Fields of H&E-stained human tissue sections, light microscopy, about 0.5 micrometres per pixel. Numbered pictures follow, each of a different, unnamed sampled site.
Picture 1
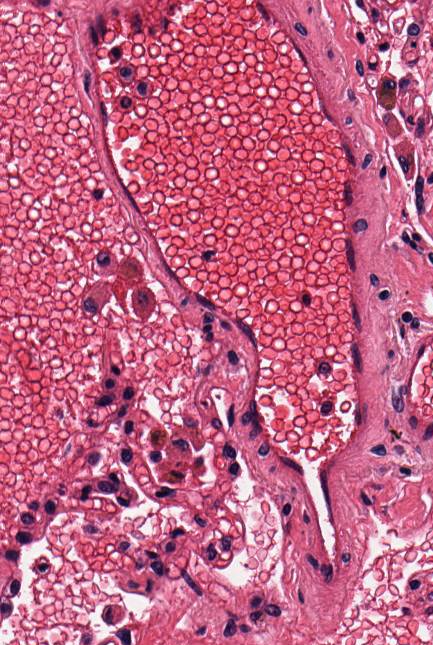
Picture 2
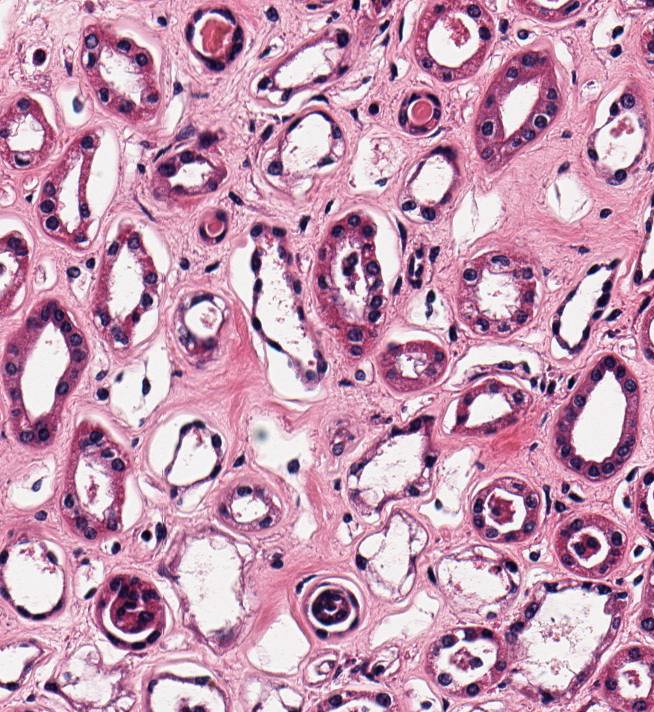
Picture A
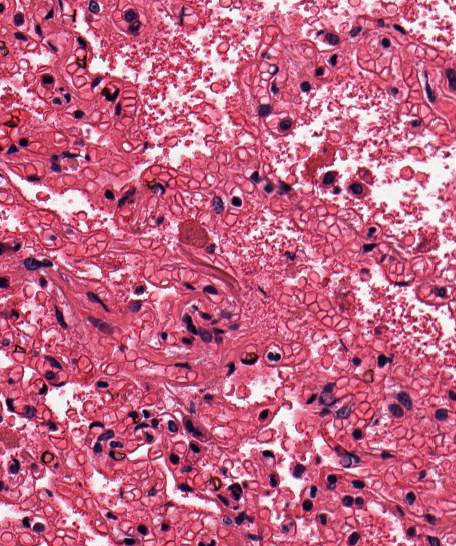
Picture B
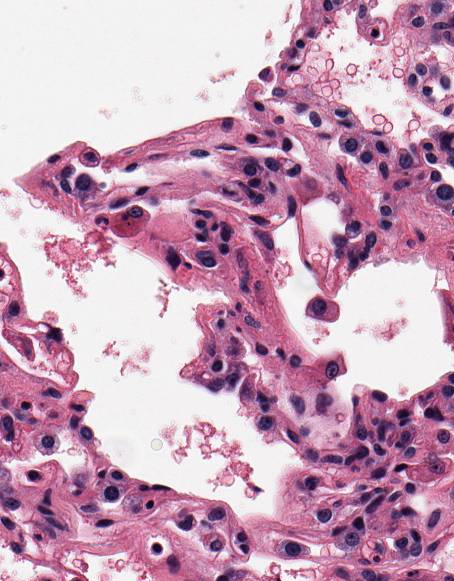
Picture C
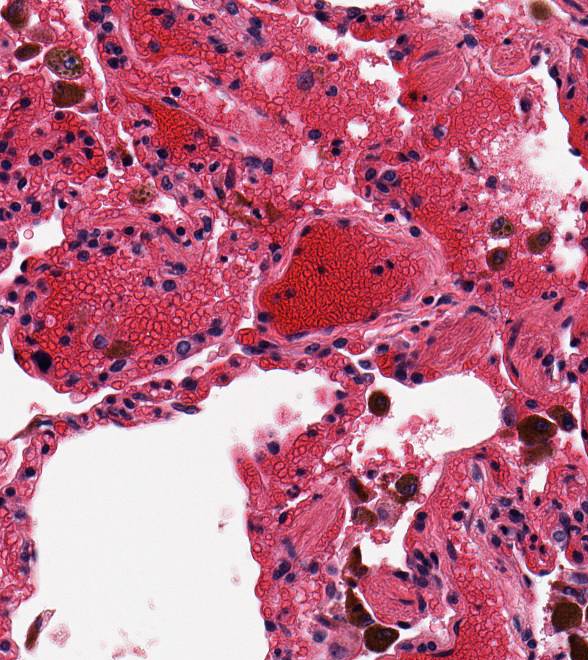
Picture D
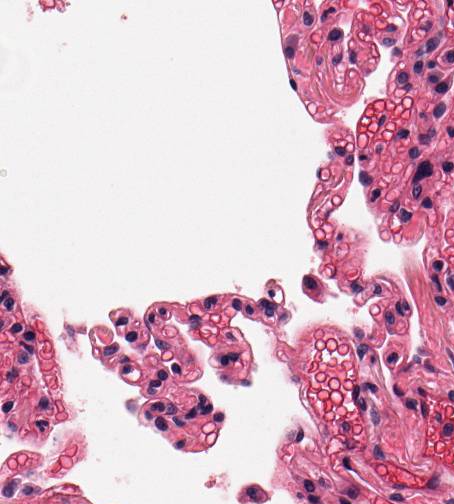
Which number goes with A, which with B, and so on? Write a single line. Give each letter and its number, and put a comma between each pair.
A 1, B 1, C 1, D 1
